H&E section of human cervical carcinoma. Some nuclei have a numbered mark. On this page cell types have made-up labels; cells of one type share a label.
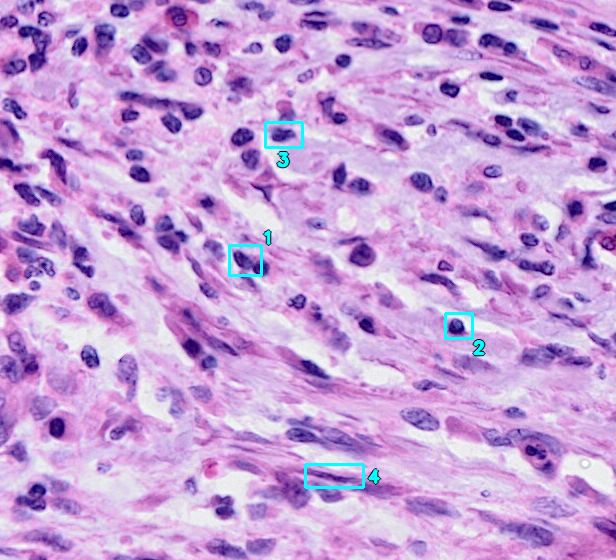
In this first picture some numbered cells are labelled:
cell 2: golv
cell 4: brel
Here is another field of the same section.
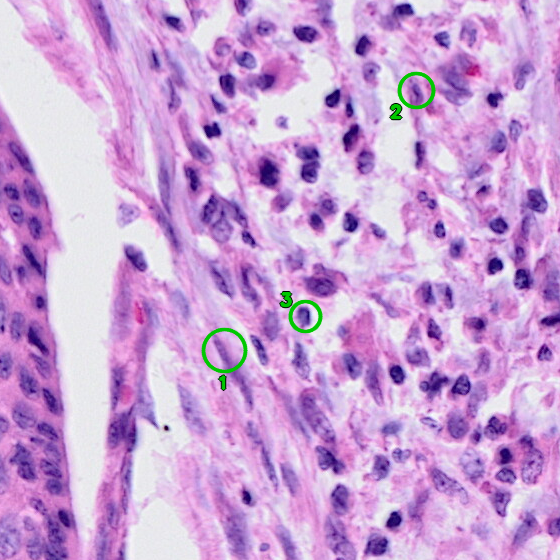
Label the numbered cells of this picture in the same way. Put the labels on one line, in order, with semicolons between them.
brel; brel; golv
